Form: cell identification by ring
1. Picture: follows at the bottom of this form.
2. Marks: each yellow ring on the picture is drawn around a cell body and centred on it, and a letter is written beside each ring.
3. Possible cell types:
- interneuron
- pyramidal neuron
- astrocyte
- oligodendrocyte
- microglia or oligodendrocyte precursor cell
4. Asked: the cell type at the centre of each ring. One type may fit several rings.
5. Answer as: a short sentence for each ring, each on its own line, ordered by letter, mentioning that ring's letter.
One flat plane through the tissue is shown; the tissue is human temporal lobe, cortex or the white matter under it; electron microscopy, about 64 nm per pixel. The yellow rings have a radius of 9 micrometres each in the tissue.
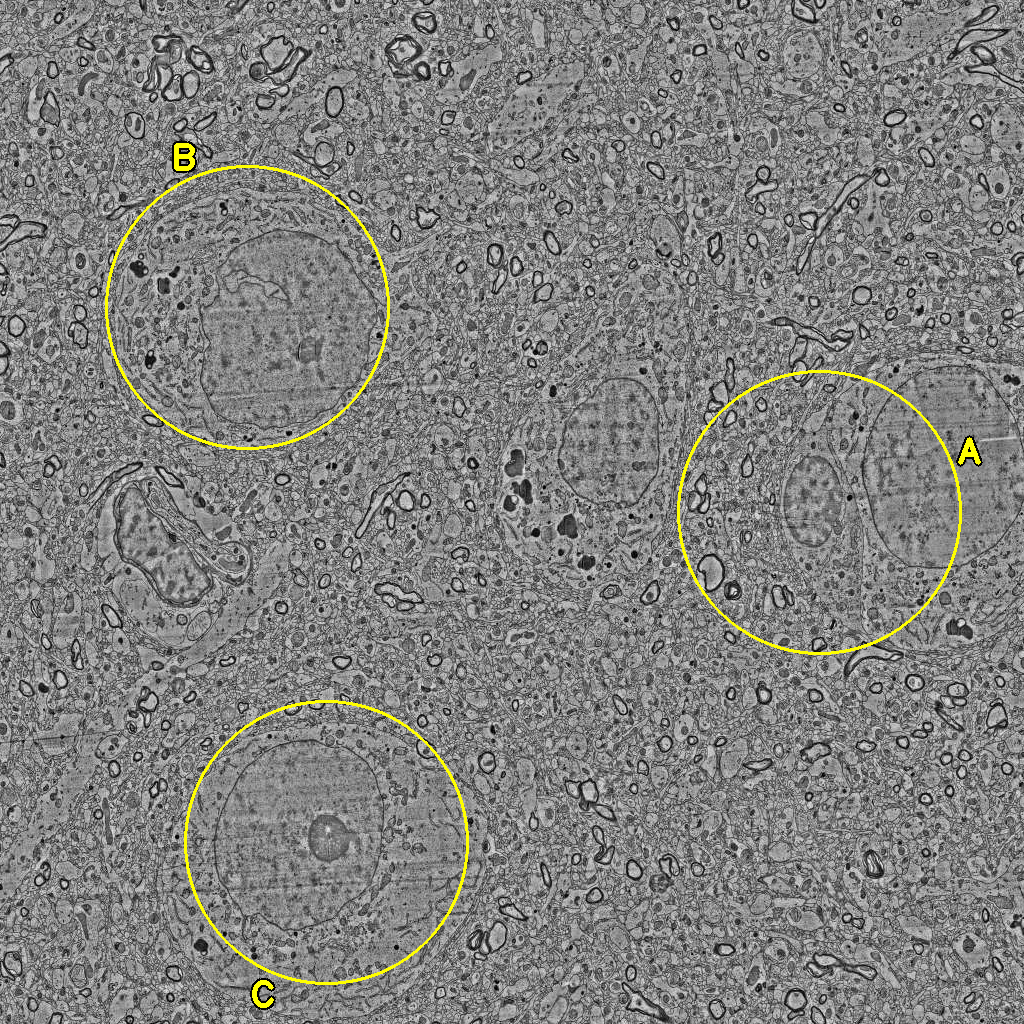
The cell at ring A's centre is an oligodendrocyte.
The cell at ring B's centre is an interneuron.
The cell at ring C's centre is a pyramidal neuron.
